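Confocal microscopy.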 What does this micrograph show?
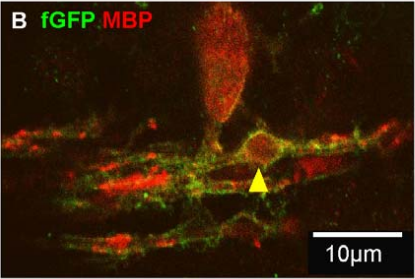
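A rounded cell body lies at the centre, outlined by green membrane and filled with red, and a taller, teardrop-shaped red cell body rises above it. Several long, roughly parallel elongated red streaks run horizontally across the field, and green, finely beaded membrane threads wrap along and between them, with yellow where green and red coincide. Small green puncta are scattered through the background.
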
